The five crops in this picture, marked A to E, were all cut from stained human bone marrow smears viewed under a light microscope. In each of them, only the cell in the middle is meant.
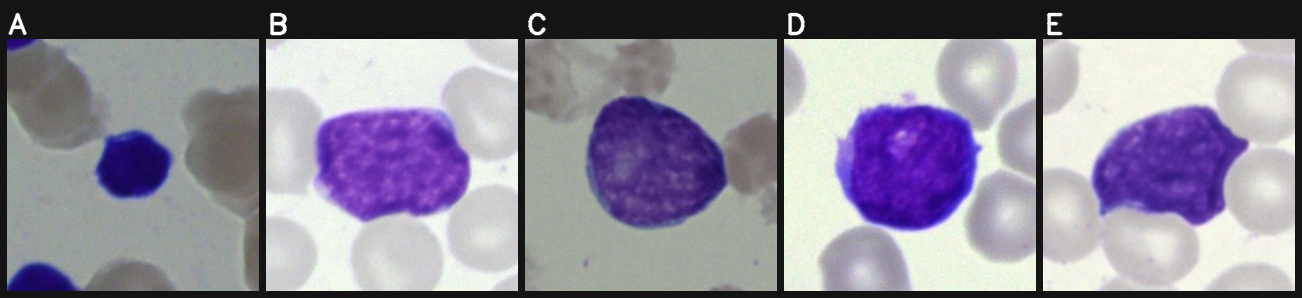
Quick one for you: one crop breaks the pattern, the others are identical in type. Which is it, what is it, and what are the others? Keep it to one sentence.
Crop A is a lymphocyte, while the rest of the set consists of blasts.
